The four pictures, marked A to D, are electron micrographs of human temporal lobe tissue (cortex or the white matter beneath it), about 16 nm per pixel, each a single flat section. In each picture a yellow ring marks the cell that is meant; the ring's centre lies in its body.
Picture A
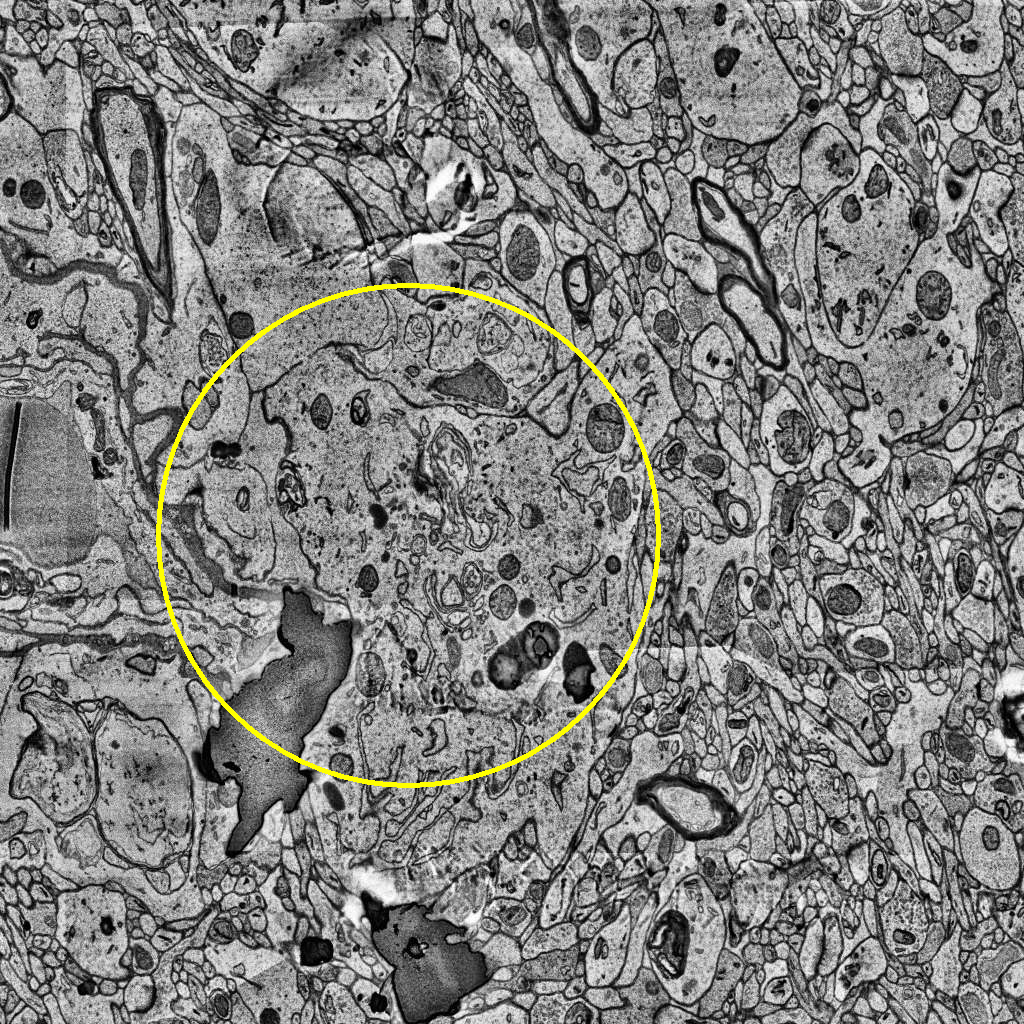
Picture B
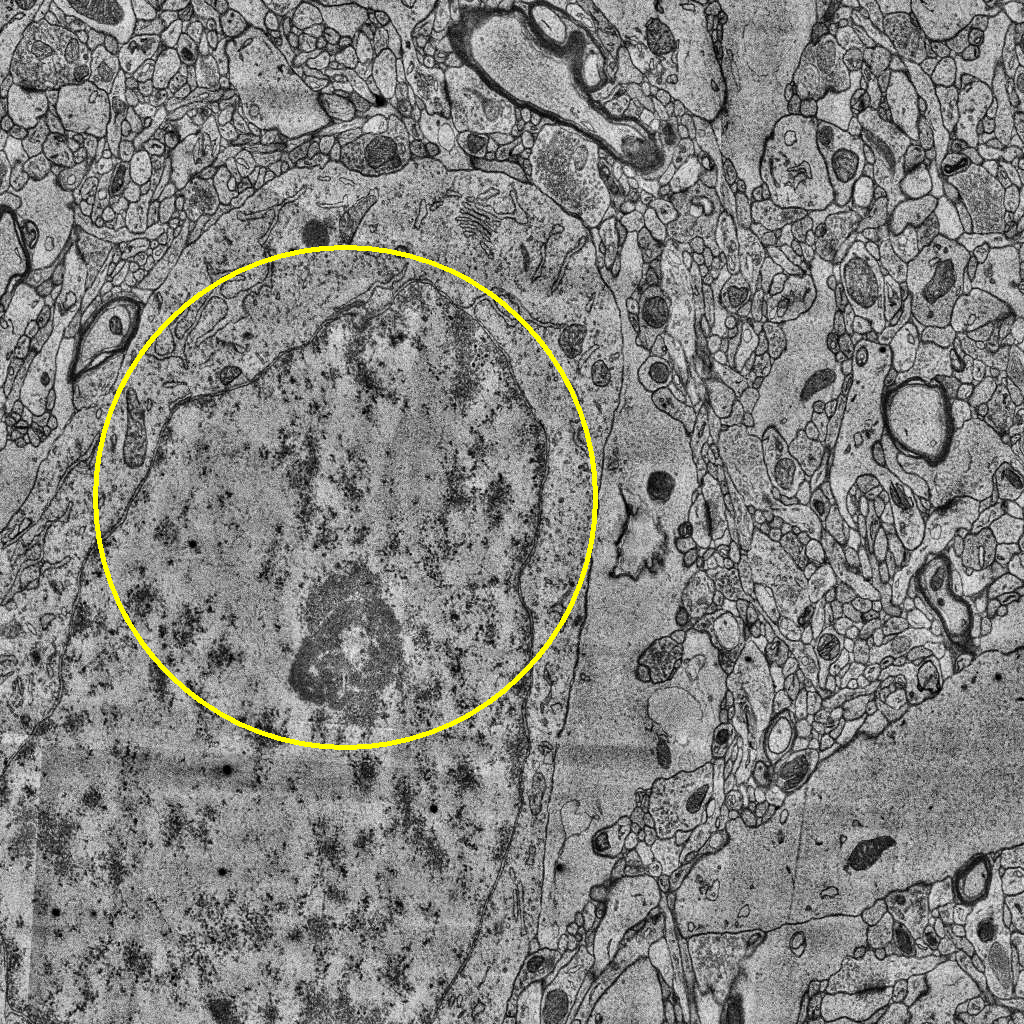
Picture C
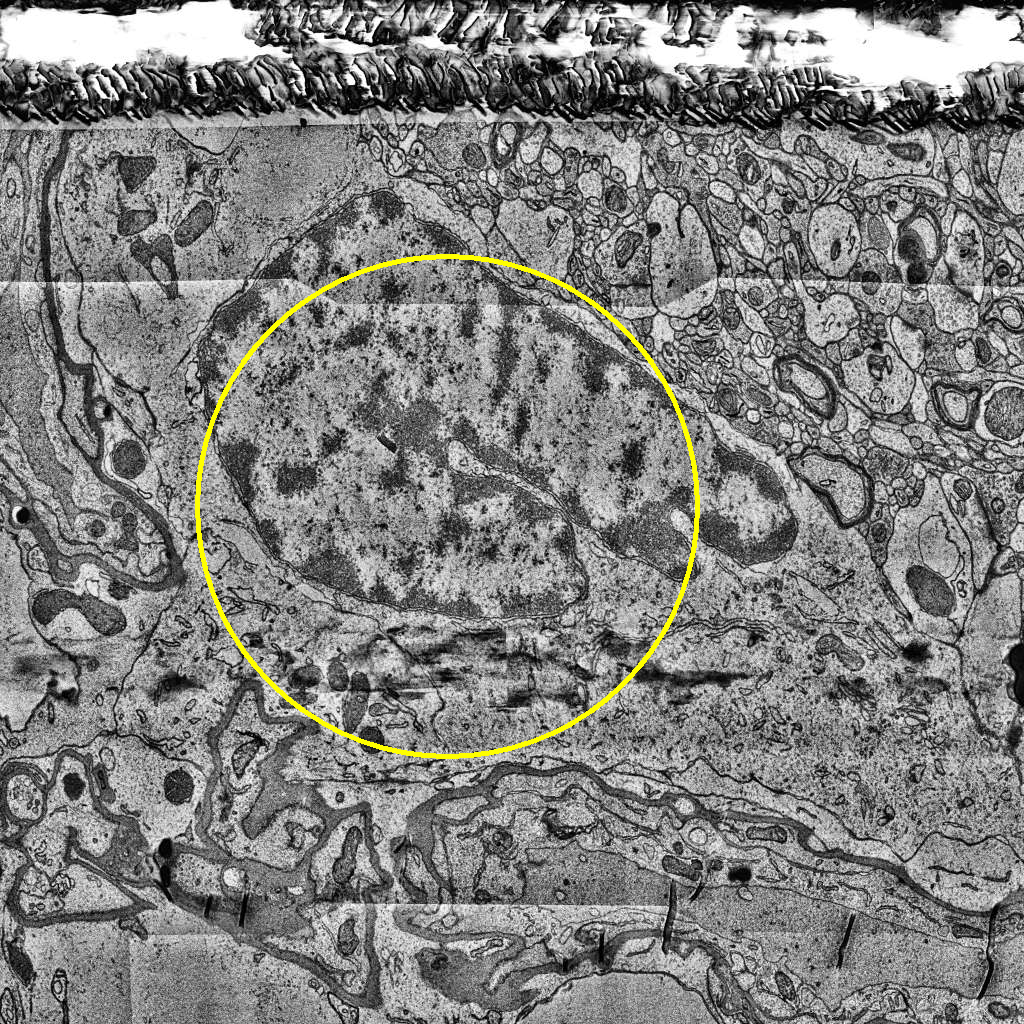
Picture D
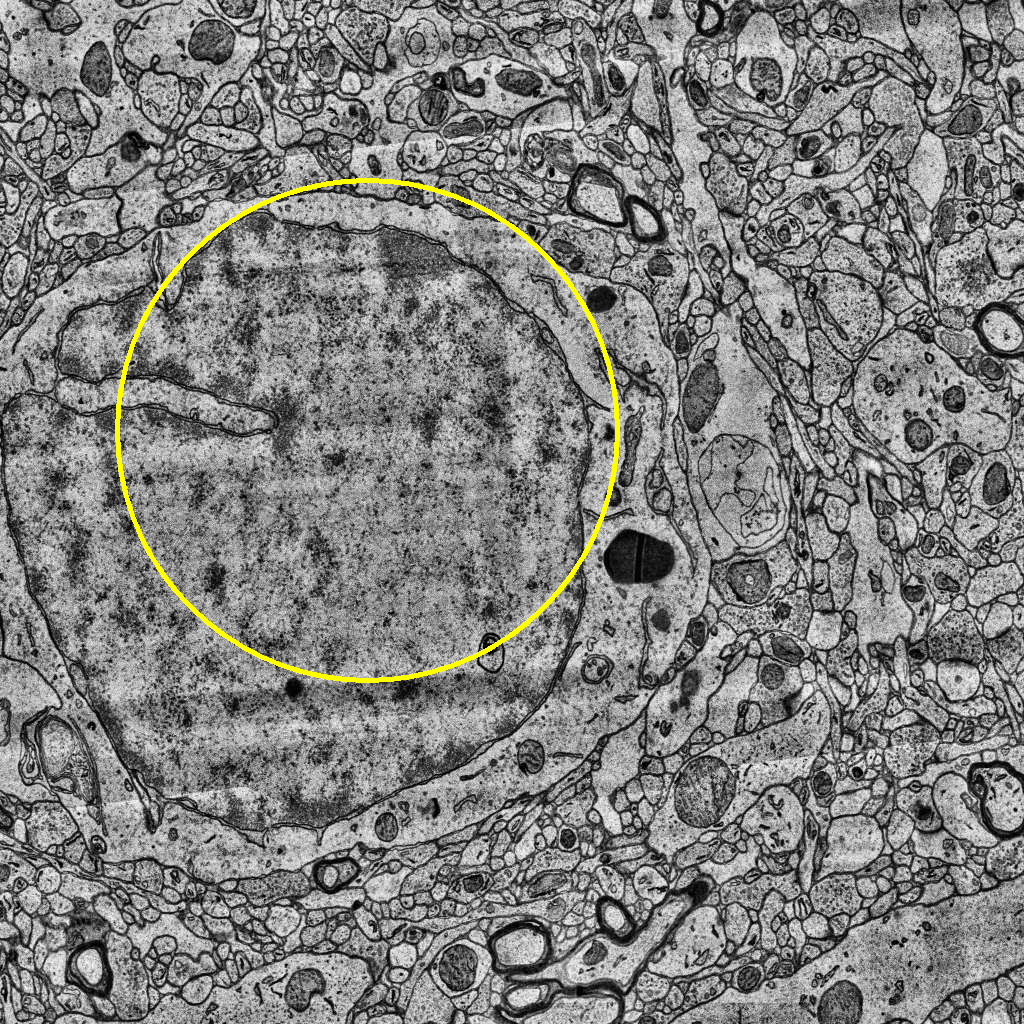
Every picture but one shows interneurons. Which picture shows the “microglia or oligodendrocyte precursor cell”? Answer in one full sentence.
The picture with the “microglia or oligodendrocyte precursor cell” is C.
